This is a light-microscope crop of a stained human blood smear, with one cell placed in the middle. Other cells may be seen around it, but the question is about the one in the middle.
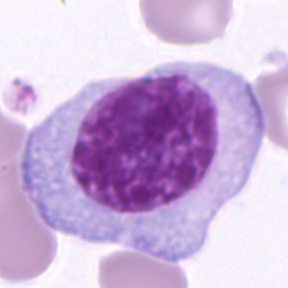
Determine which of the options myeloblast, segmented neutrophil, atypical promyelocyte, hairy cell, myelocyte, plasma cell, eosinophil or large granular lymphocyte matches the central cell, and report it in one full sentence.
Standing at the centre of this crop is a plasma cell.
